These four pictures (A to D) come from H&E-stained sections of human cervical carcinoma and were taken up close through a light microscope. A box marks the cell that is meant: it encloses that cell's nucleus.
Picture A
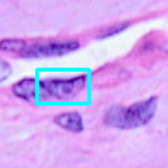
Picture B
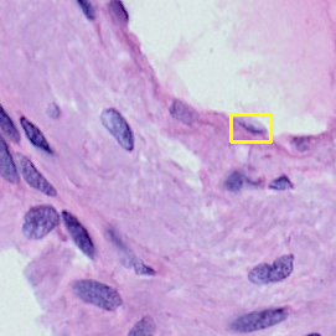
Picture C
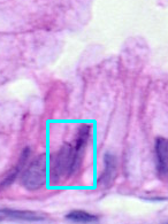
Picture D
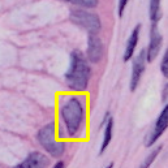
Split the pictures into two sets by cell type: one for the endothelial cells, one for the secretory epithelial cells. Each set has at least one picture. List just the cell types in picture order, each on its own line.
endothelial cell
endothelial cell
secretory epithelial cell
secretory epithelial cell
